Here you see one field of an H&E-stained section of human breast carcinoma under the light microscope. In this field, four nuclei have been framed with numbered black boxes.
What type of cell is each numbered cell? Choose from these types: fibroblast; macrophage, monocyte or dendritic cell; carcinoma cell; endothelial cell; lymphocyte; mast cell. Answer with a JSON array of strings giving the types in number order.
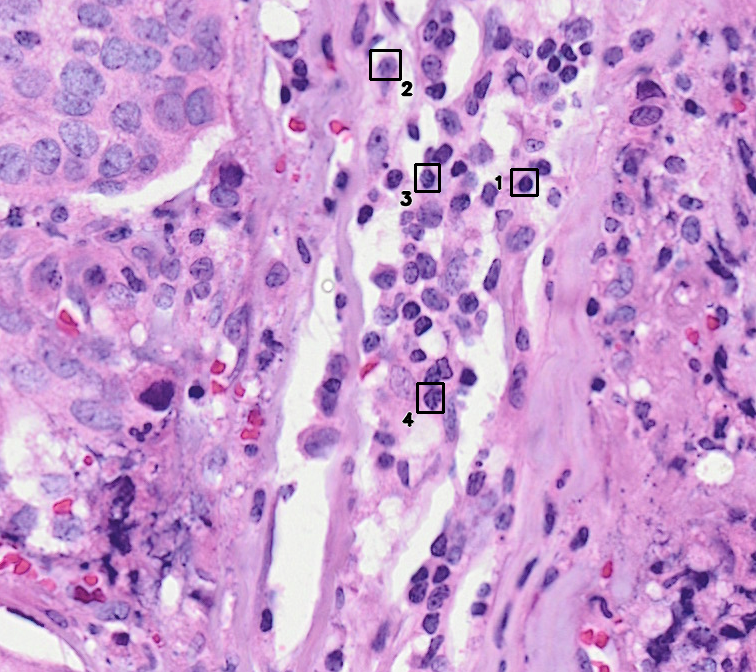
["lymphocyte", "mast cell", "lymphocyte", "lymphocyte"]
